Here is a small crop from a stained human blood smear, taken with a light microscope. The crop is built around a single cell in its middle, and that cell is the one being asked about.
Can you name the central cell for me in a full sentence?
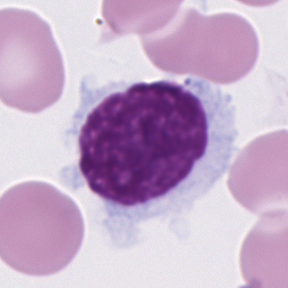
The cell the crop is centered on is a hairy cell.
